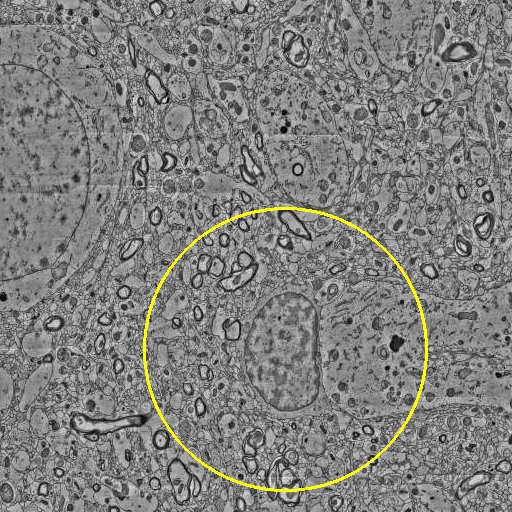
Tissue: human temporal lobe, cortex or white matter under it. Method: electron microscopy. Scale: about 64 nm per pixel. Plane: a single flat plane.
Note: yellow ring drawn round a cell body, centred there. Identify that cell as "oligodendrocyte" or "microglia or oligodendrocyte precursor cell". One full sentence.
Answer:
The cell in the middle of the ring is an oligodendrocyte.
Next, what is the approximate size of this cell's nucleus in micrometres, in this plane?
In this plane the nucleus measures about 7 by 5 micrometres and is clearly longer than it is wide.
